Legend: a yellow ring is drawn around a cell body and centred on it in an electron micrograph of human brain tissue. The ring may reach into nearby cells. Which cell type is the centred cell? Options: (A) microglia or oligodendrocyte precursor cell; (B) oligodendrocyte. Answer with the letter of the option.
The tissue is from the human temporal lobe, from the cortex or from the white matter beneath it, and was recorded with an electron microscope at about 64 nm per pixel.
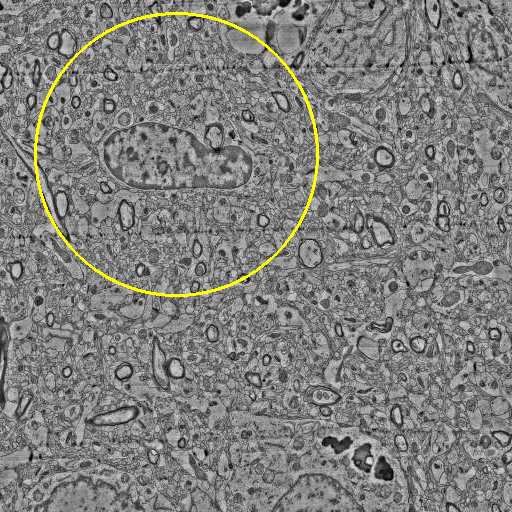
A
